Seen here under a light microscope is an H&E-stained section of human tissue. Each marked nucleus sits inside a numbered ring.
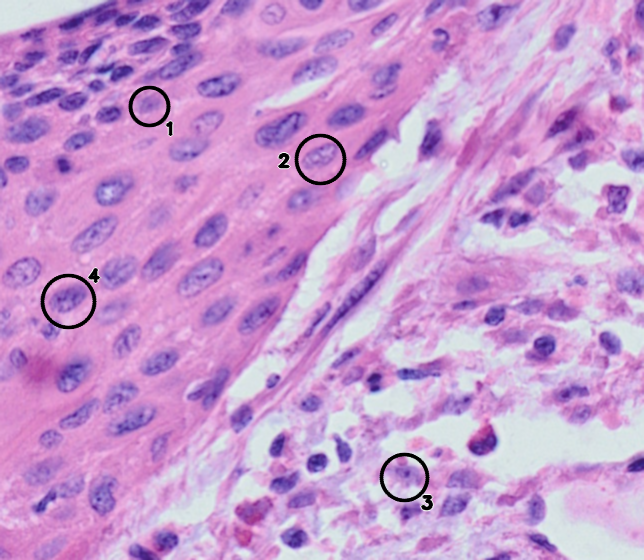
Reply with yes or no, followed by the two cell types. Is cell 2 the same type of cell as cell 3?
No, cell 2 is a squamous carcinoma cell and cell 3 is a fibroblast.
